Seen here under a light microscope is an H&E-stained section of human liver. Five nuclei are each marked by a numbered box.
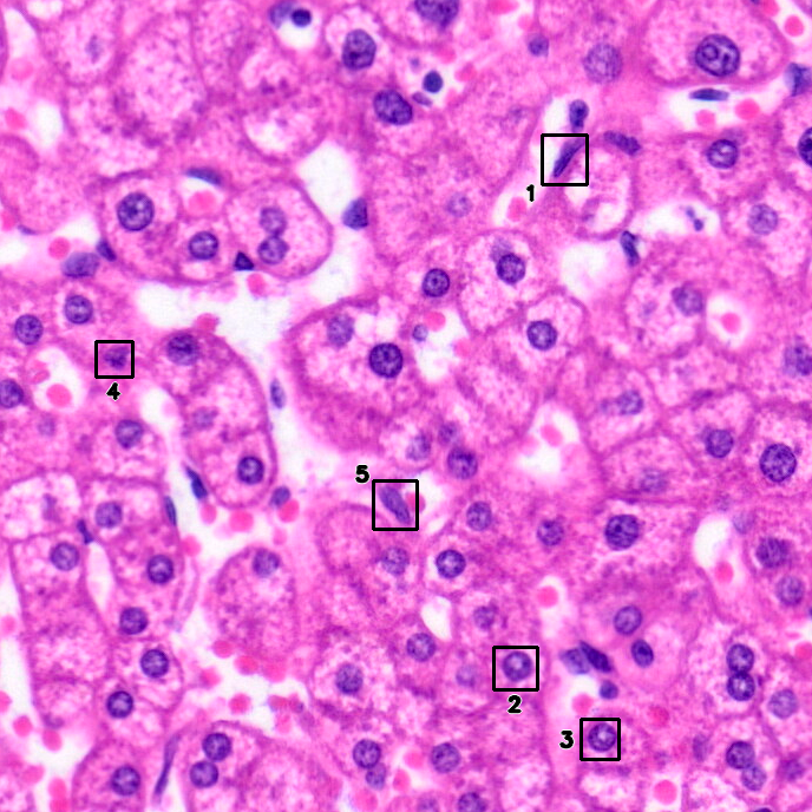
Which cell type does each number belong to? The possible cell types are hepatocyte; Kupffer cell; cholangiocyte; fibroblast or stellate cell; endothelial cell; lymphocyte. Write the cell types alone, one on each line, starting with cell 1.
Kupffer cell
hepatocyte
hepatocyte
fibroblast or stellate cell
Kupffer cell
